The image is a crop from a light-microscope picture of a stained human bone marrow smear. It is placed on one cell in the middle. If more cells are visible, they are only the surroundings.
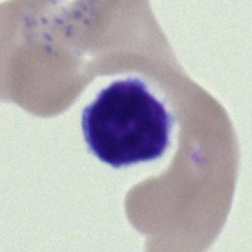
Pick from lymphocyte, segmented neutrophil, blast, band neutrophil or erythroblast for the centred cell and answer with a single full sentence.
The centrally positioned cell in the crop represents a lymphocyte.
